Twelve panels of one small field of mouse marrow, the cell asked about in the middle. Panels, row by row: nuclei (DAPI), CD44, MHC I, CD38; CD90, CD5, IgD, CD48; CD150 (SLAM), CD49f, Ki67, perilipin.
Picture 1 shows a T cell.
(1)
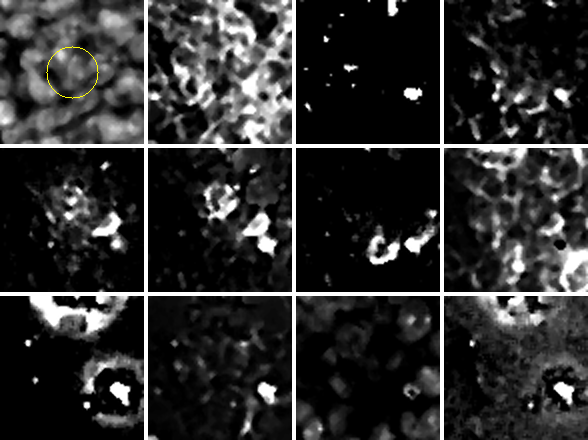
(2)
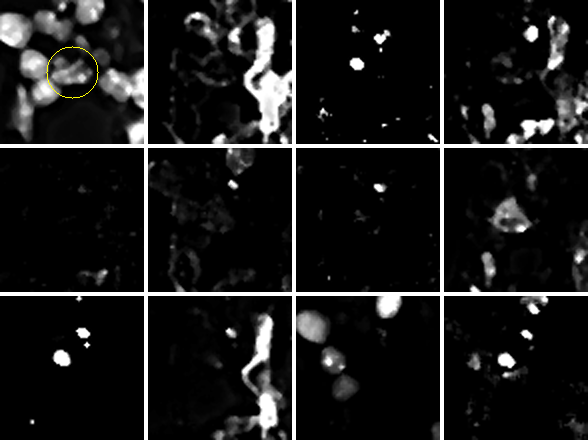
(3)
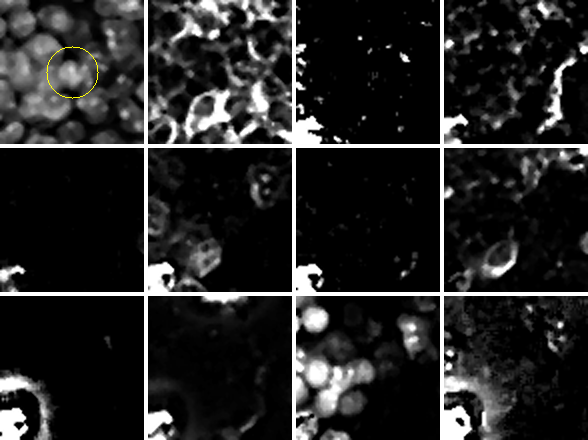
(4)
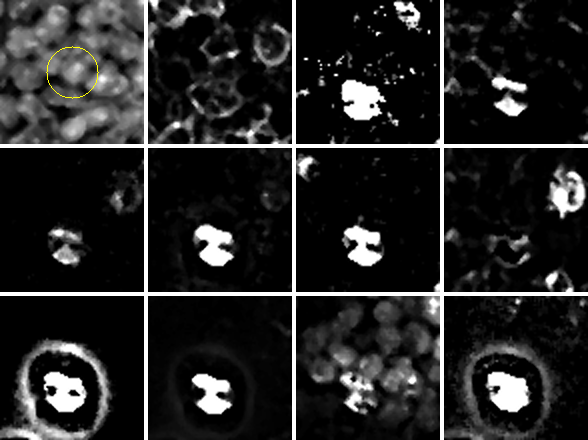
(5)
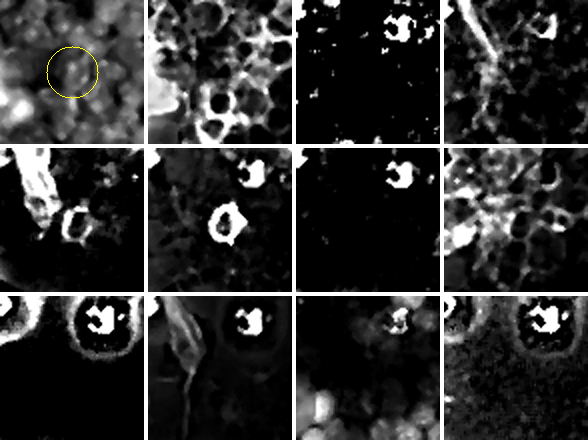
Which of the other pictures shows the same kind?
Picture 5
